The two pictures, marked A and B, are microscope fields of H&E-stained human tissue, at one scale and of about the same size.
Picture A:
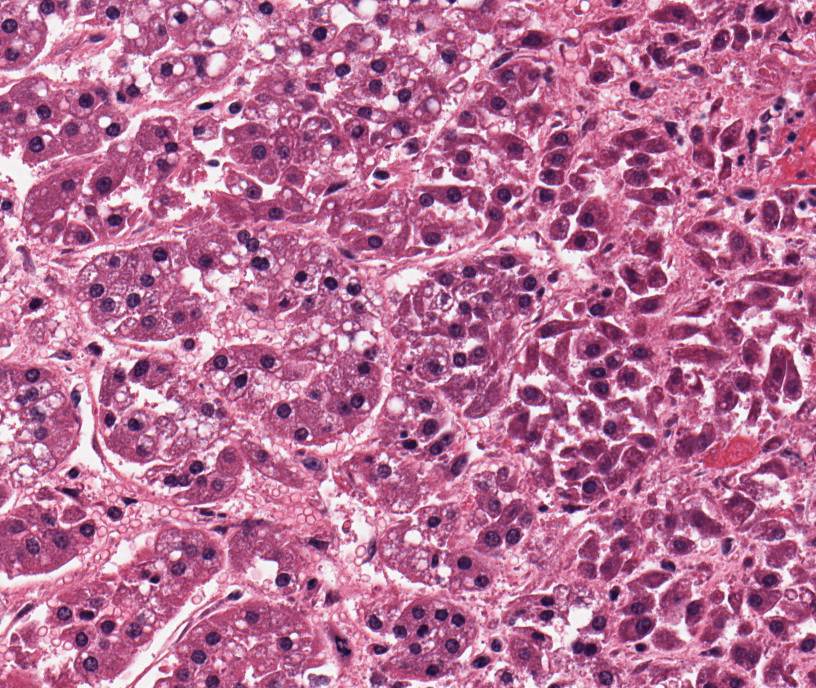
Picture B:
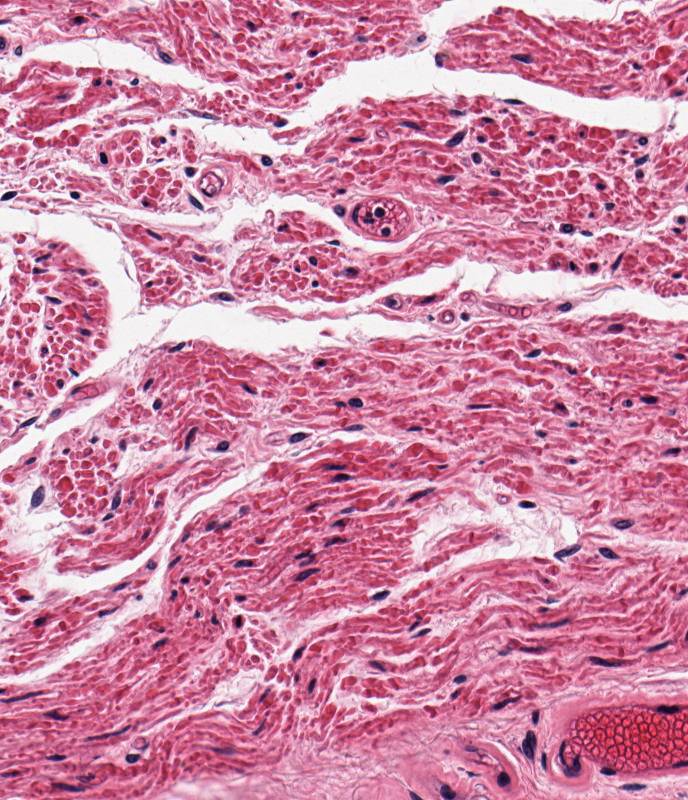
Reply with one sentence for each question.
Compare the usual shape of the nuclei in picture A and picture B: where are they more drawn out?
Longer, more slender nuclei lie in picture B.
